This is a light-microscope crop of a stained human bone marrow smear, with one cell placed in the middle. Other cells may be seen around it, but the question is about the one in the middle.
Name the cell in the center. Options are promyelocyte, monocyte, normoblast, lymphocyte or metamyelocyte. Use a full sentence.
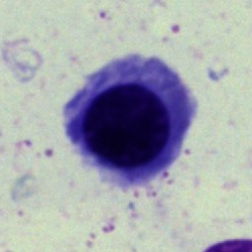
By classification, the middle cell of this crop is a normoblast.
